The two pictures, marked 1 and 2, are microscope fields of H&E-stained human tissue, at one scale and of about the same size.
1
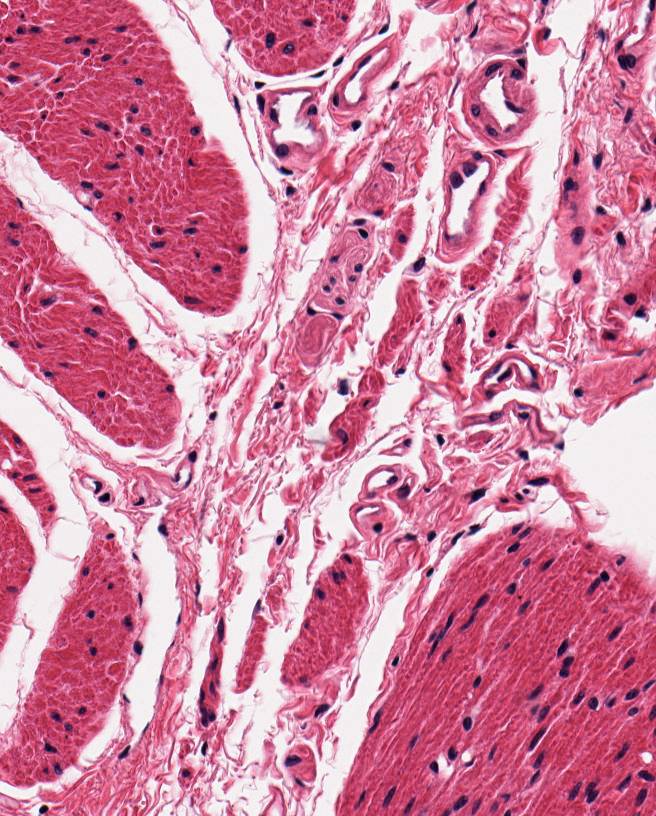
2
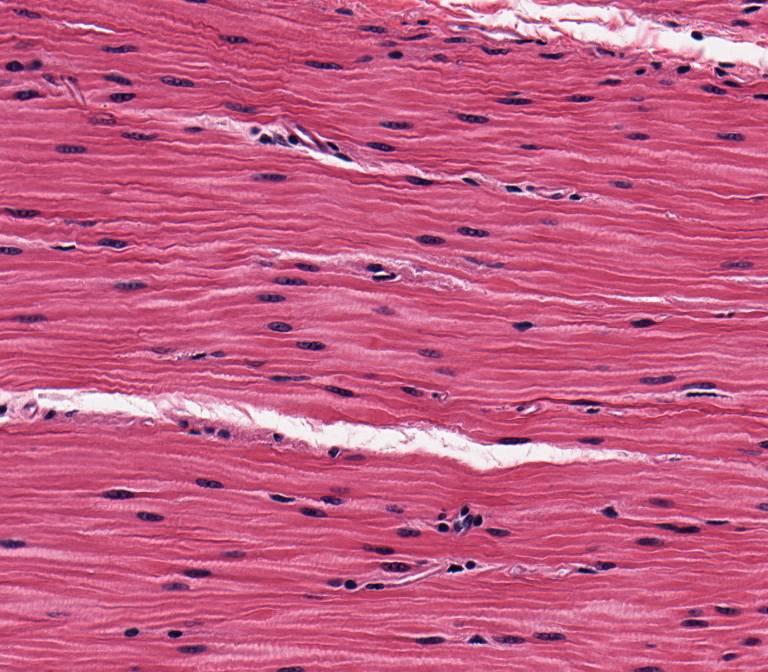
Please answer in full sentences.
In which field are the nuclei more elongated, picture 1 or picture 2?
The nuclei are more elongated in picture 2.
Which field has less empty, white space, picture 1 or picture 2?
Unstained space takes up less of picture 2 than of picture 1.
